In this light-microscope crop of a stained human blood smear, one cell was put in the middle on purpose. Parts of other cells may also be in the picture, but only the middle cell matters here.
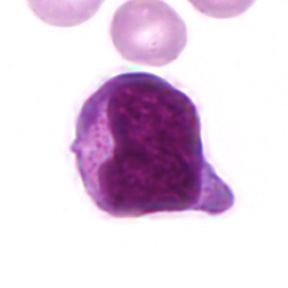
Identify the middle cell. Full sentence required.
Of the cells in this crop, the central one is an atypical promyelocyte.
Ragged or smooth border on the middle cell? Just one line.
The cytoplasmic margin is uneven, whether through ragged segments or through projections.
